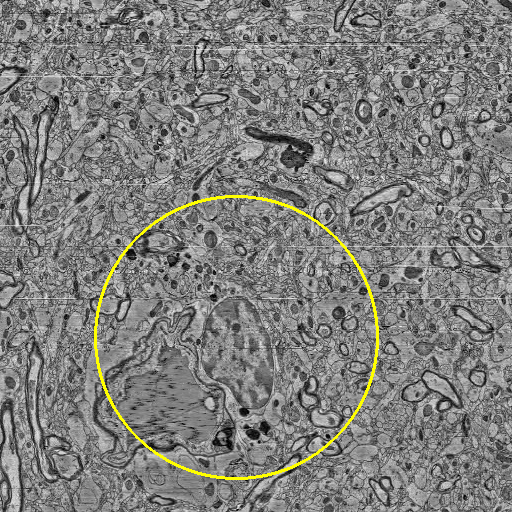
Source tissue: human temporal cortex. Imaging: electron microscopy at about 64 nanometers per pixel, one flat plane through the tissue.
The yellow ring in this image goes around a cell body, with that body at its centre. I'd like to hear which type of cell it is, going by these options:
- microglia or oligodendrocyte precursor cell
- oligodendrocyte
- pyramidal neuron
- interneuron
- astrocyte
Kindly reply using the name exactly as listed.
microglia or oligodendrocyte precursor cell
